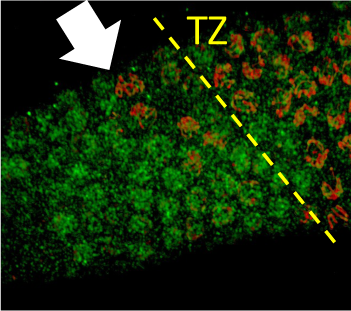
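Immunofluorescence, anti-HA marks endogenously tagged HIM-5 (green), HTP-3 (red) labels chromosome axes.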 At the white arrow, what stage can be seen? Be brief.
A: Pre-meiotic stages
